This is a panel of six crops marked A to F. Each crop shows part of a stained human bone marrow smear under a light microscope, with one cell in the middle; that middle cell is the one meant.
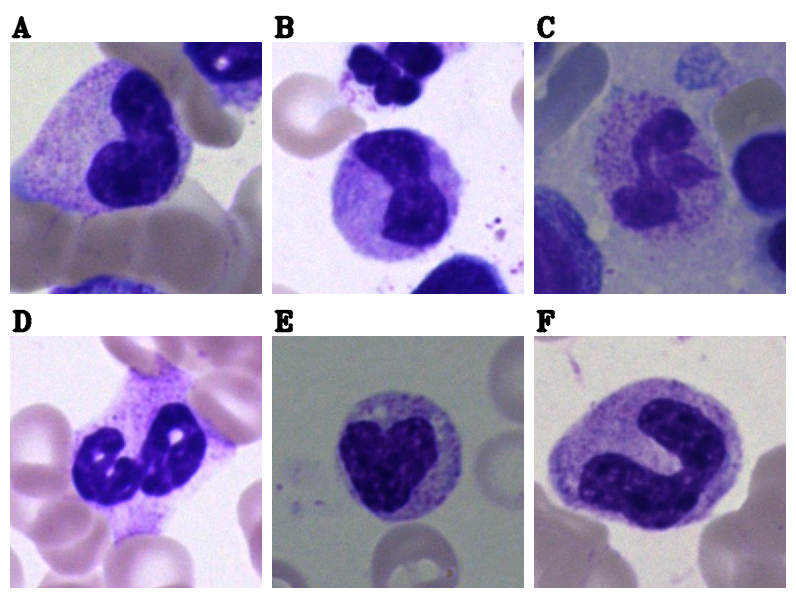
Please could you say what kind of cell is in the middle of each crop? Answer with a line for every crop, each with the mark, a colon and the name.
A: band neutrophil
B: metamyelocyte
C: segmented neutrophil
D: segmented neutrophil
E: metamyelocyte
F: band neutrophil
